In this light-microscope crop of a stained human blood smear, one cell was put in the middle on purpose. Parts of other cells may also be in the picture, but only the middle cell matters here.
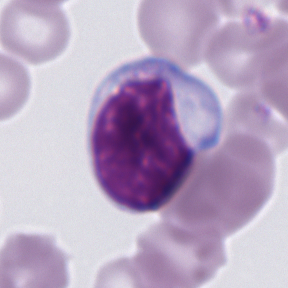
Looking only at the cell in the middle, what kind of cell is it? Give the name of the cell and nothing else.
large granular lymphocyte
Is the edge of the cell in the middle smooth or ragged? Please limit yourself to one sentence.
Its periphery is smooth, and no projections arise from it.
